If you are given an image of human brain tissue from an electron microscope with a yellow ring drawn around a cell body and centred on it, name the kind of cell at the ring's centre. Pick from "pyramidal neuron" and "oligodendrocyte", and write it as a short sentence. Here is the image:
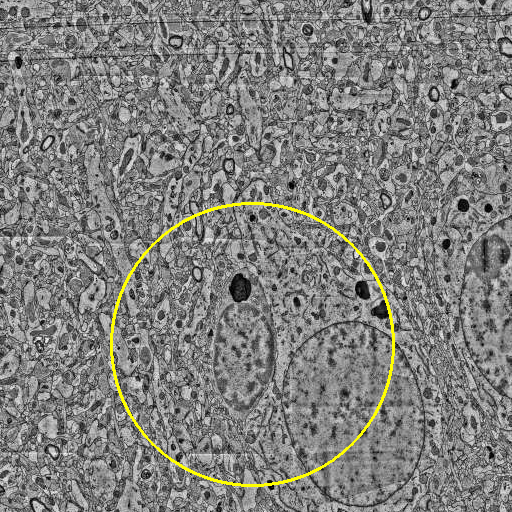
The cell at the ring's centre is an oligodendrocyte.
